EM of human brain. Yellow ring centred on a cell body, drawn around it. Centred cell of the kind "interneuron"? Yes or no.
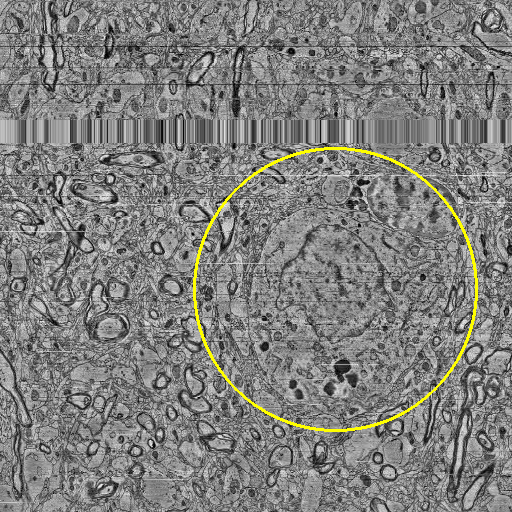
yes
